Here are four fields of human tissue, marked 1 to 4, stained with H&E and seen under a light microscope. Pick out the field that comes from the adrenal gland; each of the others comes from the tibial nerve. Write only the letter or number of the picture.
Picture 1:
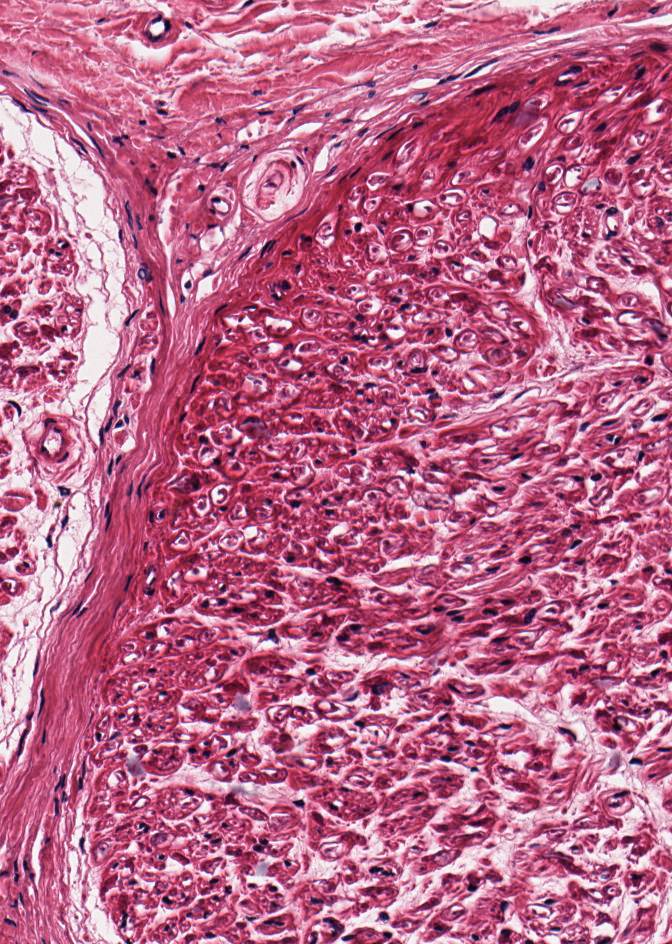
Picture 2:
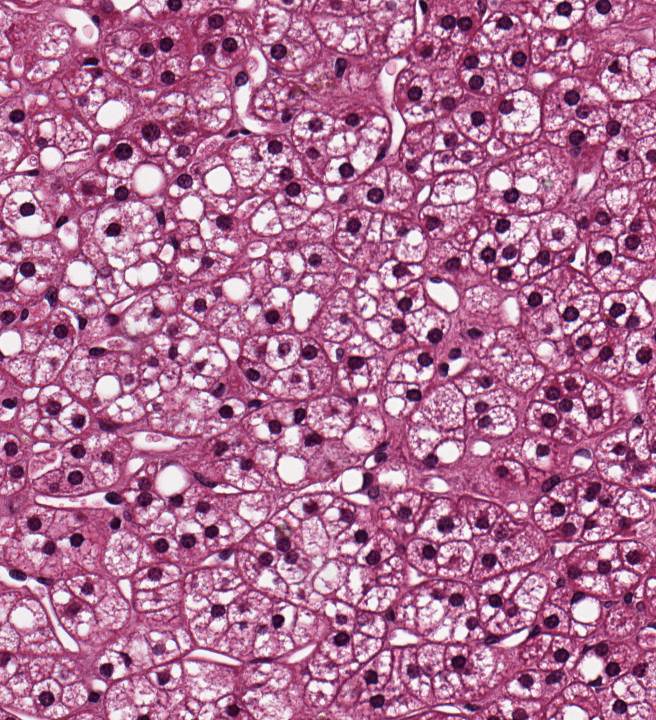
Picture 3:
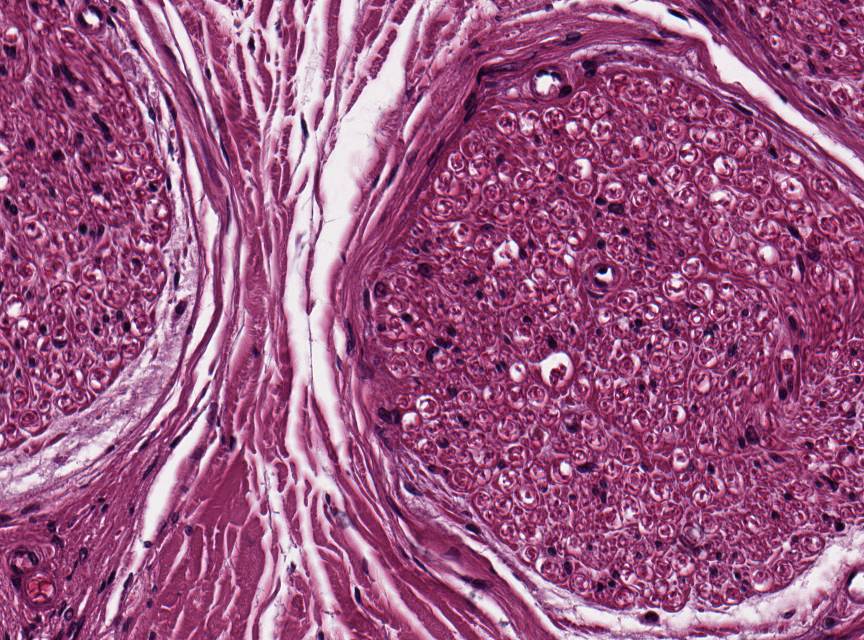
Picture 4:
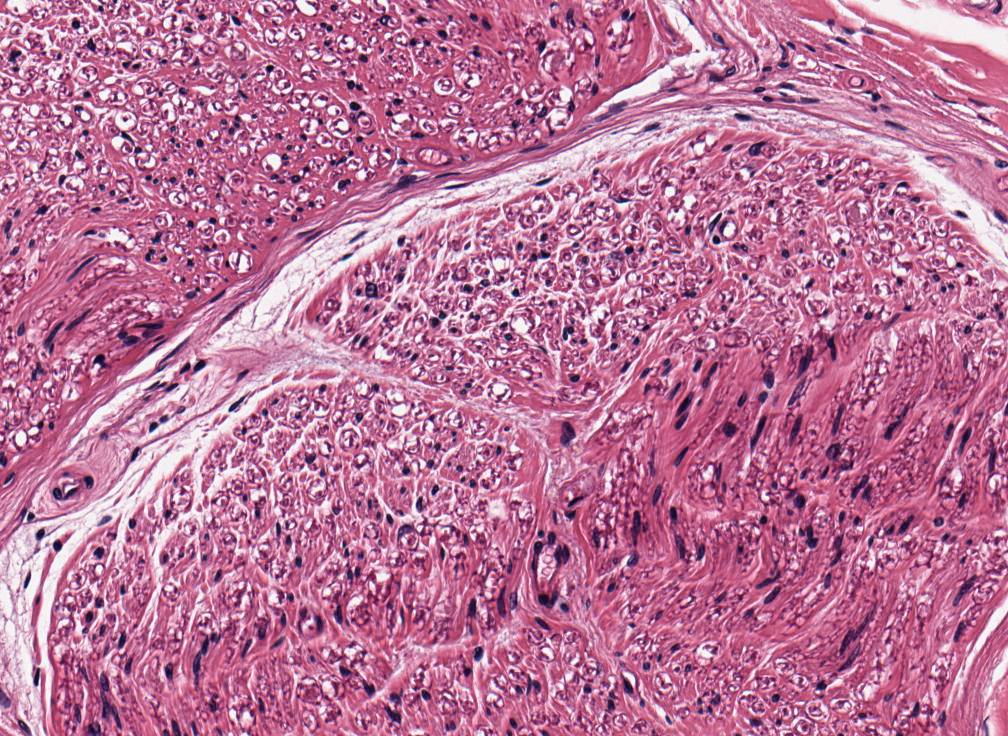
2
